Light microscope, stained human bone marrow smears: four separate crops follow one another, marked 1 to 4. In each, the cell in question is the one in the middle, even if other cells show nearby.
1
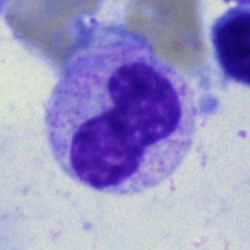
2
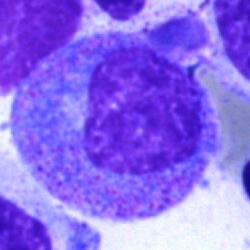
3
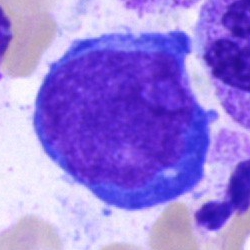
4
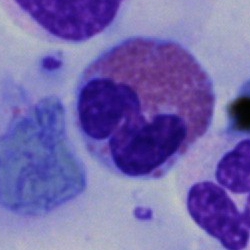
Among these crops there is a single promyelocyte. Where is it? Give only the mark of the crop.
2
